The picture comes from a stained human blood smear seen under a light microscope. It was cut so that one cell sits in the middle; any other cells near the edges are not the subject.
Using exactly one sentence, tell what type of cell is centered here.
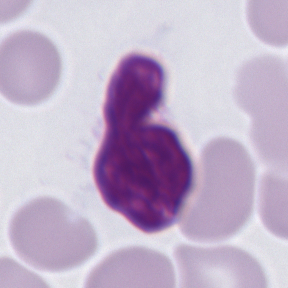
The central element of this crop is a cell, namely a smudge cell.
